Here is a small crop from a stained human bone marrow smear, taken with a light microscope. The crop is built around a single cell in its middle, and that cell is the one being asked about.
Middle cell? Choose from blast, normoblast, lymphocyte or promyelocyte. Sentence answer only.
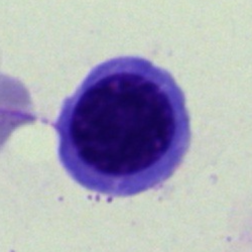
The cell of interest, located centrally, is a normoblast.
